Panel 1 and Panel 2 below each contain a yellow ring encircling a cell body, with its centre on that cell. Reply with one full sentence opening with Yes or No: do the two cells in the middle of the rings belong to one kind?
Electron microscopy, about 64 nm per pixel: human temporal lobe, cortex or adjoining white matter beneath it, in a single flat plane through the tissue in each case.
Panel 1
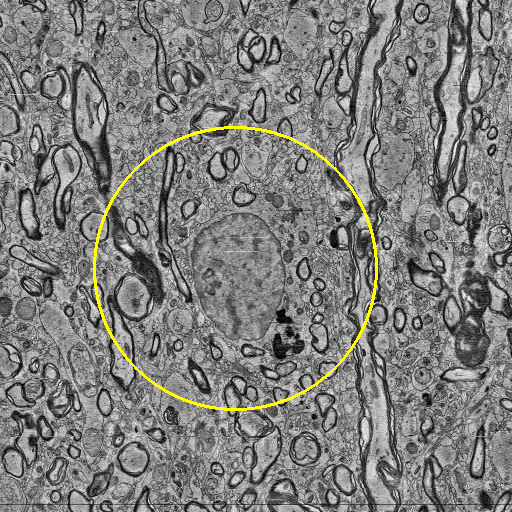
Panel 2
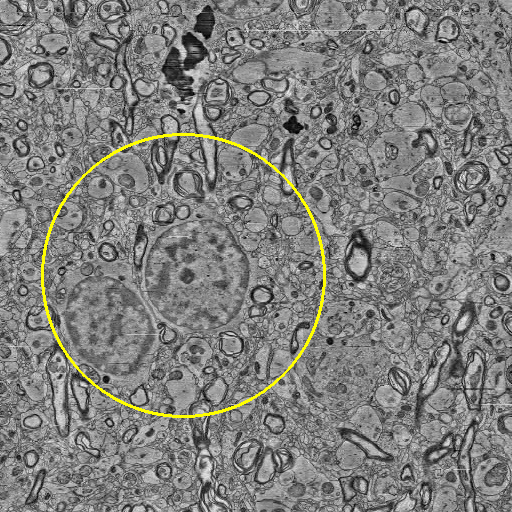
Yes, the cells at the middle of the Panel 1 ring and the Panel 2 ring are of one kind.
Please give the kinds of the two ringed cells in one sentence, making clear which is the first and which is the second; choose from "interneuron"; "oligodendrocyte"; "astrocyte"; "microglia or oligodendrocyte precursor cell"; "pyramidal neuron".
Each of the two rings surrounds an oligodendrocyte.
